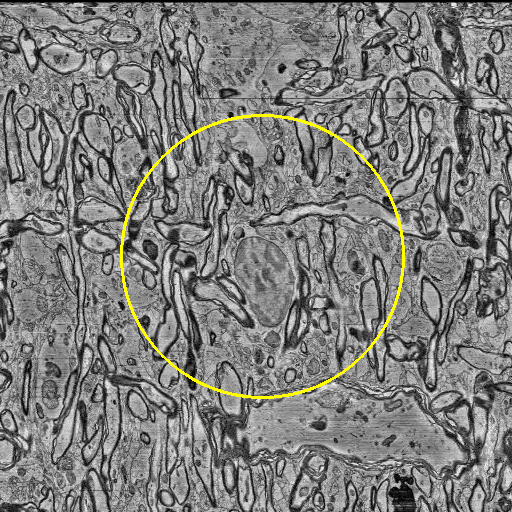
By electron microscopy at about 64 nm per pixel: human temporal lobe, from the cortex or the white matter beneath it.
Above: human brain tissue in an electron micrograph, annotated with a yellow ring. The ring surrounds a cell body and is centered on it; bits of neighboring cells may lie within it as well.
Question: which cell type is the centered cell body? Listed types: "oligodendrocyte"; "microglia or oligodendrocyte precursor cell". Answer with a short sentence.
The centered cell body is a microglial cell or oligodendrocyte precursor cell.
